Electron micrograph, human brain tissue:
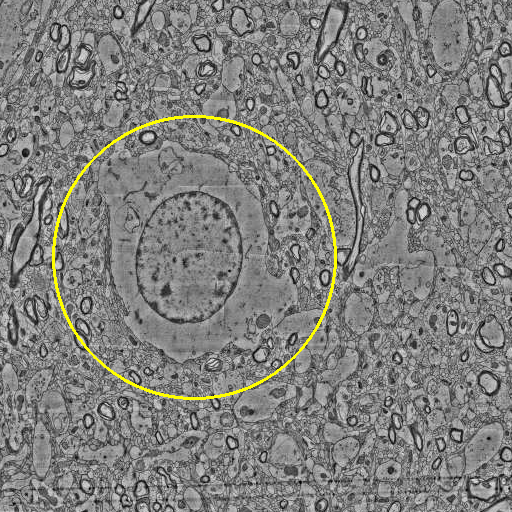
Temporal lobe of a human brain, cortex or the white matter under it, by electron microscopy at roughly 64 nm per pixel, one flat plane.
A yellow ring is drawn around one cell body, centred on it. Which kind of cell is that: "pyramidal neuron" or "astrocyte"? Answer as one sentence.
It is an astrocyte at the centre of the ring.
